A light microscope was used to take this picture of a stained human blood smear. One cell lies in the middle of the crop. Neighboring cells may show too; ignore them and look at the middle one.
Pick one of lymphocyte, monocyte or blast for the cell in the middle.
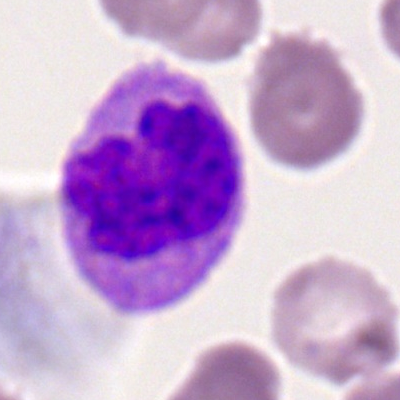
monocyte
